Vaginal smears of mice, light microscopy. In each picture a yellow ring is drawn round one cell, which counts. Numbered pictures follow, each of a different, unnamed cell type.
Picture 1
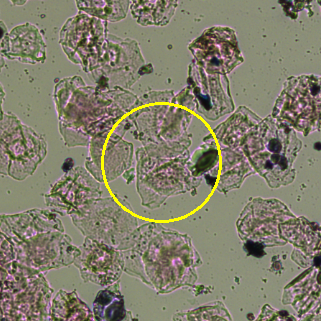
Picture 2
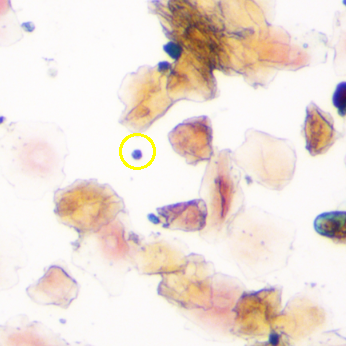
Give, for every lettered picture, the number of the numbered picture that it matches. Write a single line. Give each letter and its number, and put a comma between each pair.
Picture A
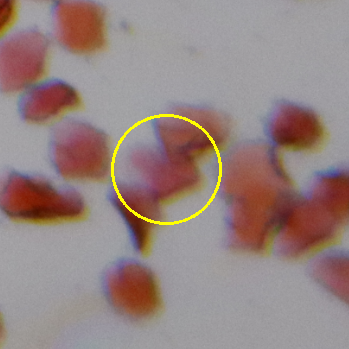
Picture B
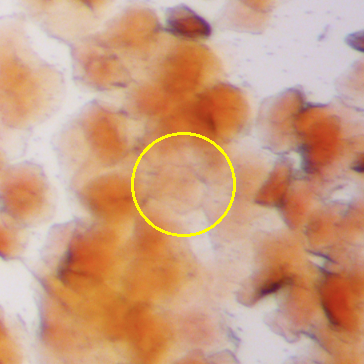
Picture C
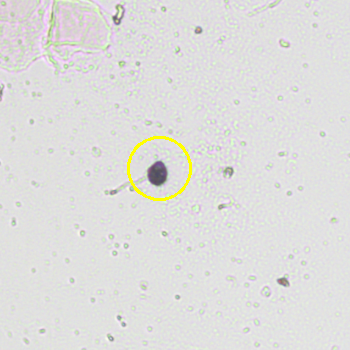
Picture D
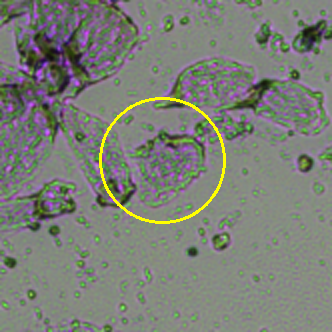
A 1, B 1, C 2, D 1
